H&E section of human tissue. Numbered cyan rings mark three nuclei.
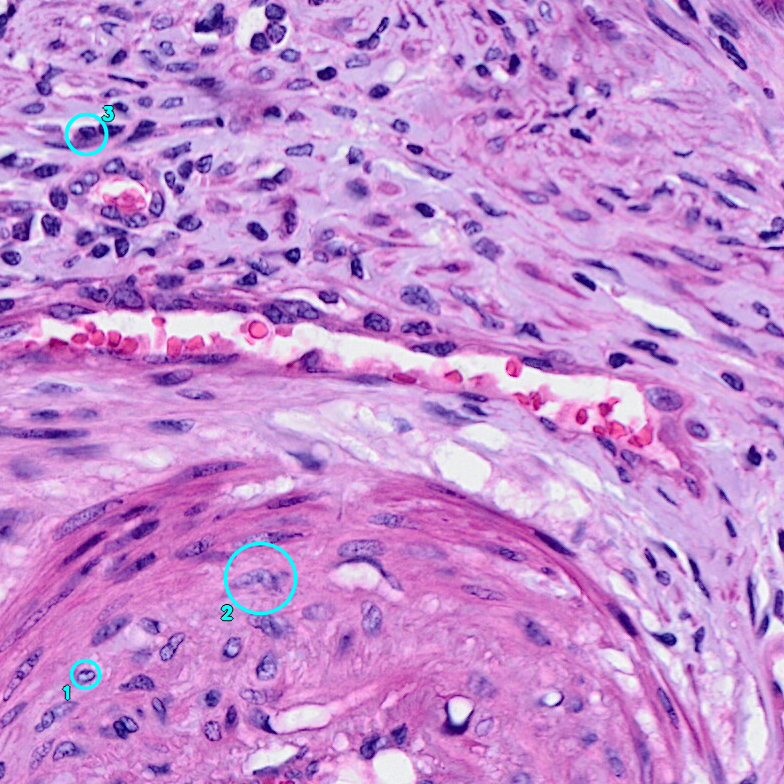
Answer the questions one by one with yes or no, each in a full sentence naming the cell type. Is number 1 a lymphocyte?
No, cell 1 is identified not as a lymphocyte but as a smooth muscle cell.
